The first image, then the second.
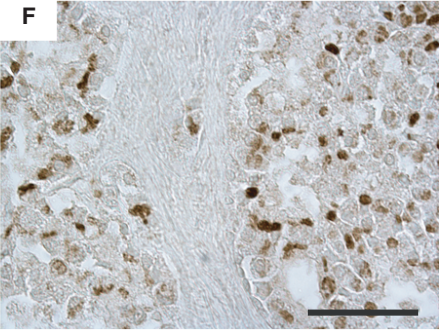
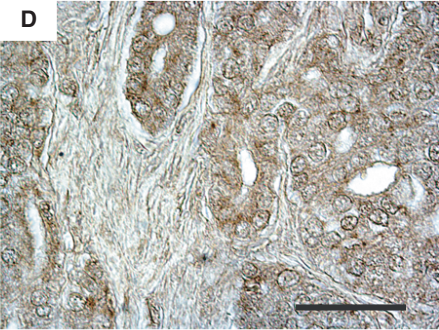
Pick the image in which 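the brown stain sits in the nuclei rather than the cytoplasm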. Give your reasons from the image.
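The first image. First image: discrete dark brown nuclei with pale surrounding cytoplasm. Second image: diffuse brown cytoplasm with paler nuclei outlined within it.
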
